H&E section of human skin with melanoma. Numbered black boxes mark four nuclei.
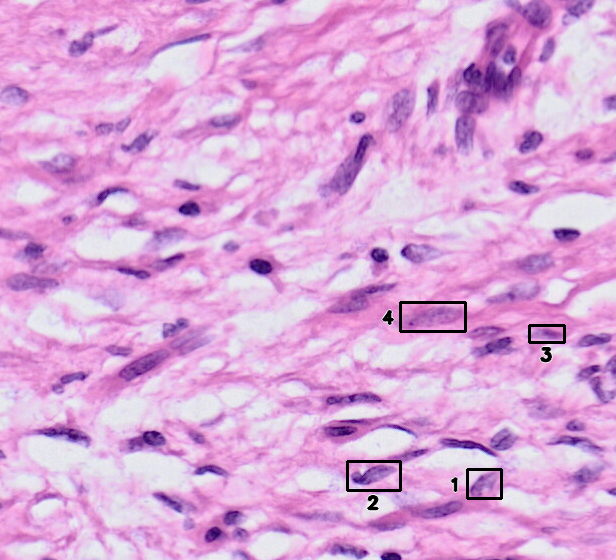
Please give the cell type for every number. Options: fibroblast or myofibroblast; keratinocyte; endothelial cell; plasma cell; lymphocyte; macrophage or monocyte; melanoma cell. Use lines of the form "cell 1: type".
cell 1: fibroblast or myofibroblast
cell 2: macrophage or monocyte
cell 3: fibroblast or myofibroblast
cell 4: fibroblast or myofibroblast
